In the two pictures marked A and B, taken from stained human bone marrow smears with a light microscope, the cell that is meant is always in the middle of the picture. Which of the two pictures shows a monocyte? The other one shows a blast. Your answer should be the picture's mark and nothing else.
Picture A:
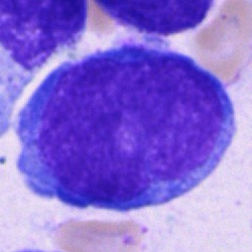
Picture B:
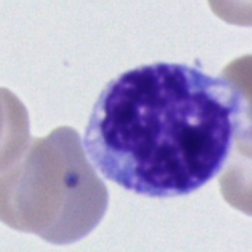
B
